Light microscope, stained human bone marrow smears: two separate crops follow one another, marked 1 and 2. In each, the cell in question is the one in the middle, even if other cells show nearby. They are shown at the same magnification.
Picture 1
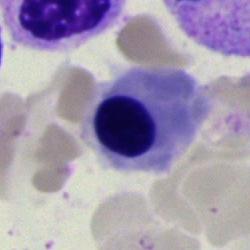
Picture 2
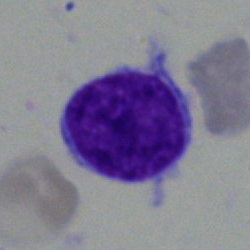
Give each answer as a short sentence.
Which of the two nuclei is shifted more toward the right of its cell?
It is the nucleus in picture 2 that lies further toward the right of its cell.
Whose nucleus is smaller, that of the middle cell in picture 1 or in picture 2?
Picture 1 shows the smaller nucleus, since that in picture 2 covers about 4 times as much area.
